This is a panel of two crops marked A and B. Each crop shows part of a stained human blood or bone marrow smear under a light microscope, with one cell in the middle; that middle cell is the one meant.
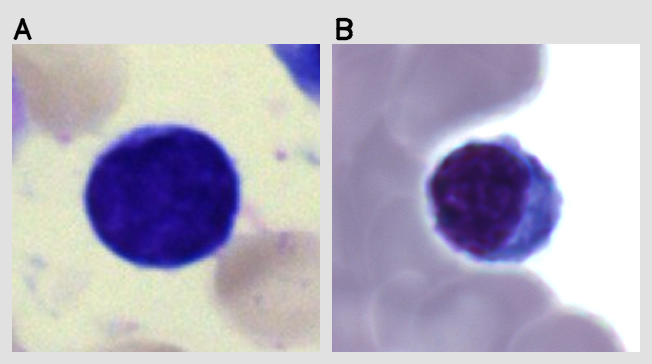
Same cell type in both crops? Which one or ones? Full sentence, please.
No, the cell at the middle of crop A is a lymphocyte, while crop B centres on a plasma cell.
